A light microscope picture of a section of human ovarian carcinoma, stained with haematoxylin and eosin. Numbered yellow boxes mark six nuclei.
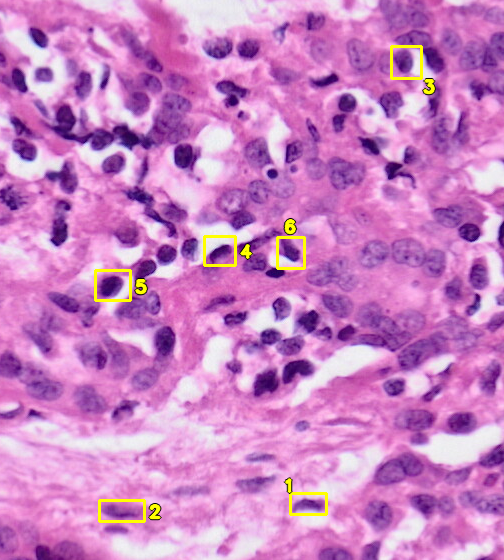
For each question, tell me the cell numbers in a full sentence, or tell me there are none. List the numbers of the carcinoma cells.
The cells numbered 3, 4, 5 and 6 fall into the category of carcinoma cells.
